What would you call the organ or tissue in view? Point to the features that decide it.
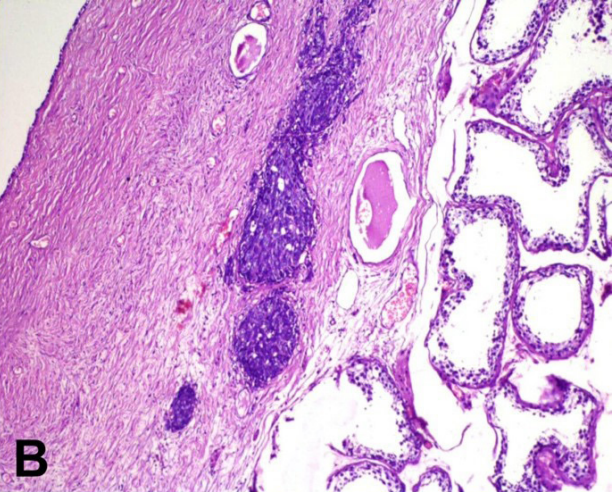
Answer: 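On the right, round to angular tubules with open lumens. The tubules are lined by several layers of small cells with dark nuclei.
Conclusion: normal testicular seminiferous tubules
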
